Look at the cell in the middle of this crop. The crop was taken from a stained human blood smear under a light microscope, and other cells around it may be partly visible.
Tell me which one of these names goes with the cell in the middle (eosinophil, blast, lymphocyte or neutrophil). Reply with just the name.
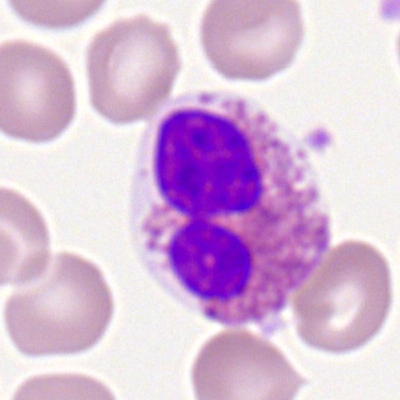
eosinophil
